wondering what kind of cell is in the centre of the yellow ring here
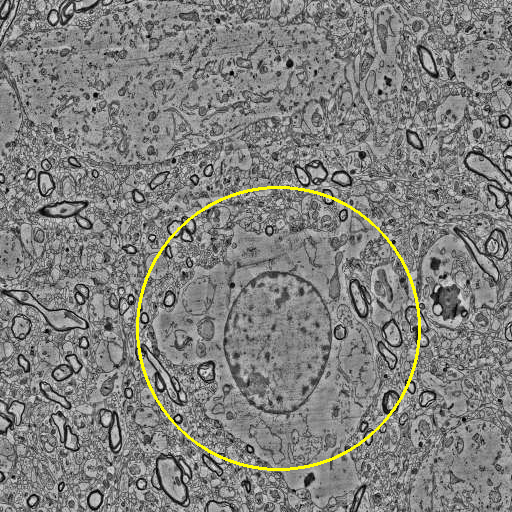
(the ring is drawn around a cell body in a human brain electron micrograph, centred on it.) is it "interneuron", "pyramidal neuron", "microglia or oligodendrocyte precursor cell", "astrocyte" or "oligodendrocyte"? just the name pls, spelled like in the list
astrocyte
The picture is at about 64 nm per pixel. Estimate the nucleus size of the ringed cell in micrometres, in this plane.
The nucleus works out at approximately 9 by 7 micrometres in this plane.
